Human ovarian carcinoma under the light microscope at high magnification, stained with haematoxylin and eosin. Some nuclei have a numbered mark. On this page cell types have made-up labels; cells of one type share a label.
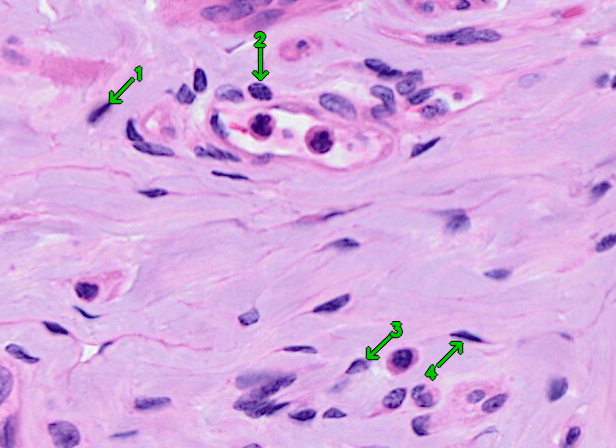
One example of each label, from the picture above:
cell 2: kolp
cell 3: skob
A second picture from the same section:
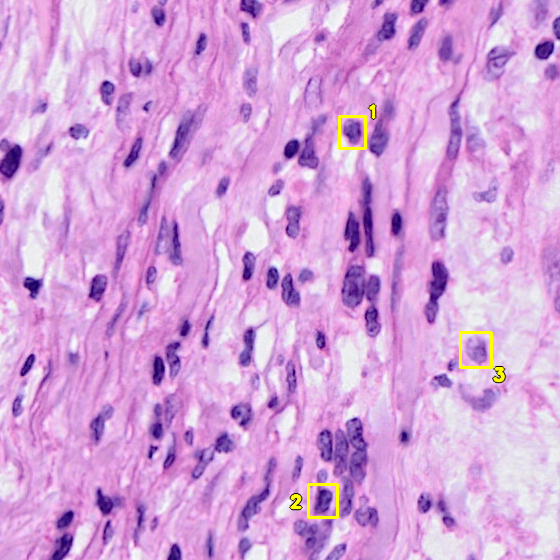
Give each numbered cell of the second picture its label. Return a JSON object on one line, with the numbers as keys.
{"1": "kolp", "2": "kolp", "3": "skob"}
